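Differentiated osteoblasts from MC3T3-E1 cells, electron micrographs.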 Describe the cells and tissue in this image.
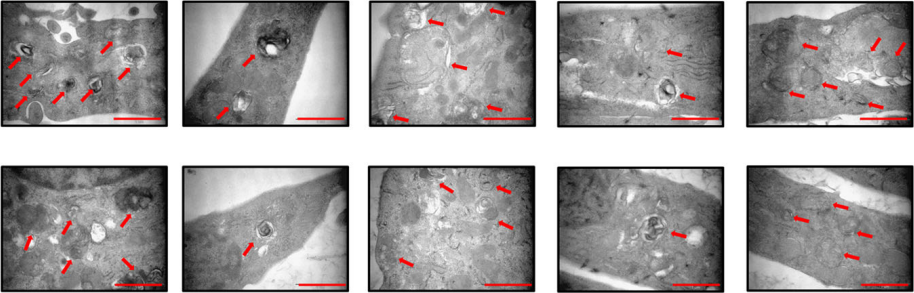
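Red arrows point to scattered rounded vacuoles, some ring-like with dark rims enclosing paler or denser content. These vacuoles are frequent in some images and sparse in others.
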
